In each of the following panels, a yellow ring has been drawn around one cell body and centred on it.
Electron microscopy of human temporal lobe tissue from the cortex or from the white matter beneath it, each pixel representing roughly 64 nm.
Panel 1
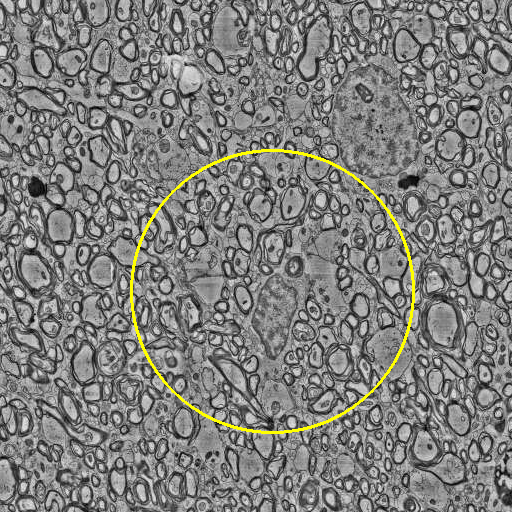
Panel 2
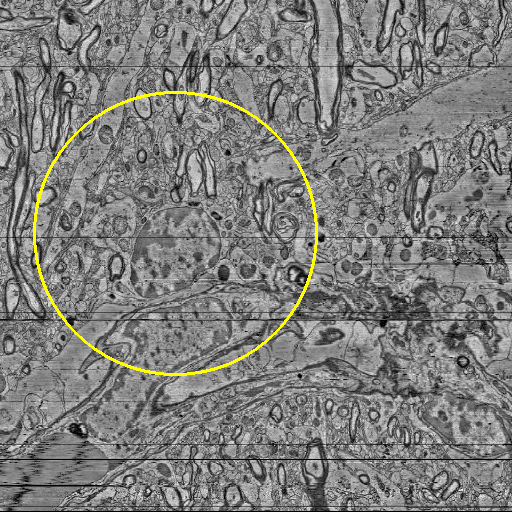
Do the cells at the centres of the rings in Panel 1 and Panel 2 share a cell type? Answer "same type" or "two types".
two types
